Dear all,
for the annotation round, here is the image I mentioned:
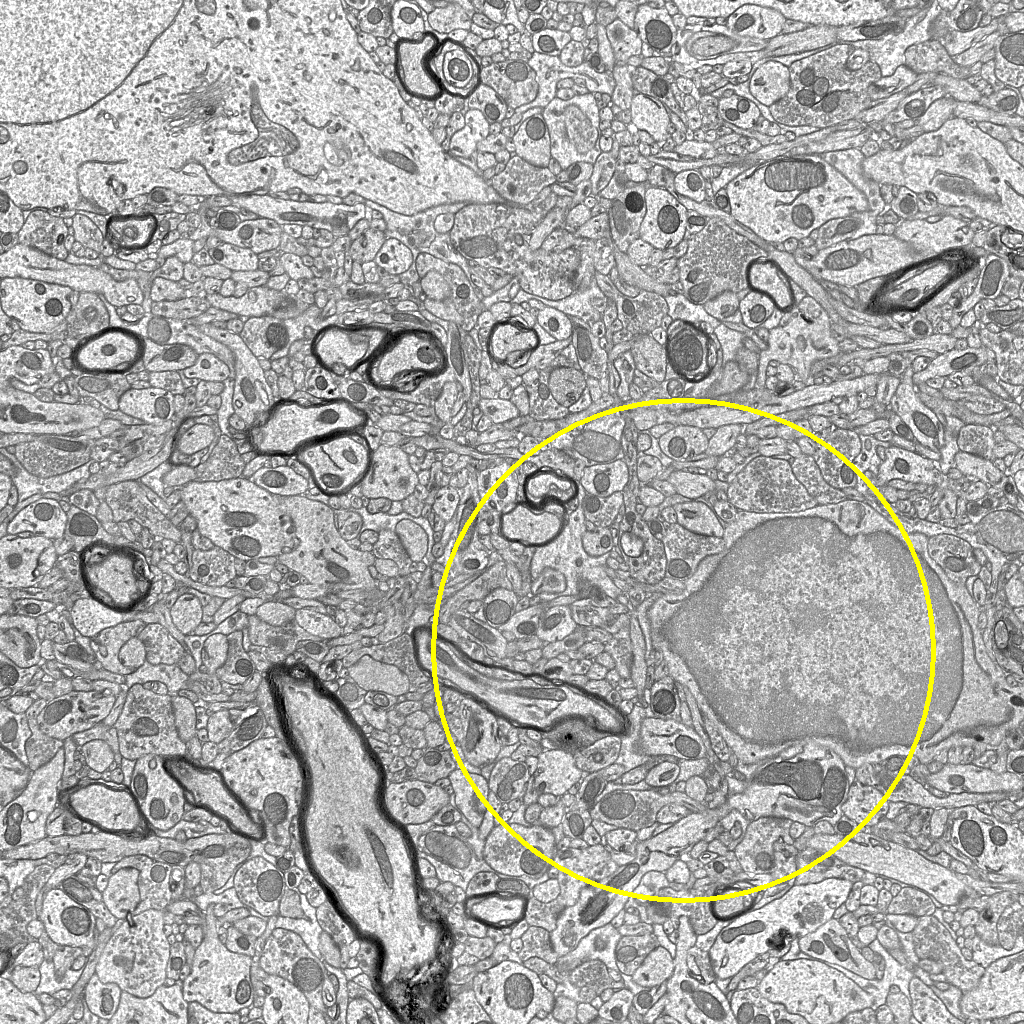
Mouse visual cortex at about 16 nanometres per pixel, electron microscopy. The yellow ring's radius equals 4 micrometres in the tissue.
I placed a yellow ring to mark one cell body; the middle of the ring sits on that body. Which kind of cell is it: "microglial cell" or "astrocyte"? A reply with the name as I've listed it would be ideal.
microglial cell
